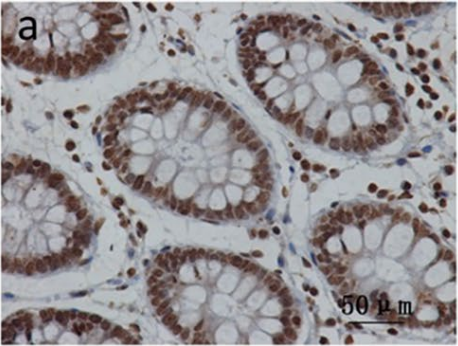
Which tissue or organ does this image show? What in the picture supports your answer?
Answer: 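Normal colon mucosa. Round crypts cut in cross section. Crypts lined by columnar cells with many clear goblet cells. Small regular basal nuclei. Loose lamina propria between crypts.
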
